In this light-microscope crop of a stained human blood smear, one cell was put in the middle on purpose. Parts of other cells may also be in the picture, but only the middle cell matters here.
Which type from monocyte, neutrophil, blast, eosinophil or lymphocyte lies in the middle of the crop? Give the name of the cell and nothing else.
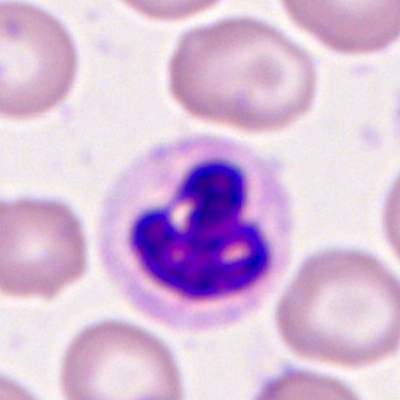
neutrophil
